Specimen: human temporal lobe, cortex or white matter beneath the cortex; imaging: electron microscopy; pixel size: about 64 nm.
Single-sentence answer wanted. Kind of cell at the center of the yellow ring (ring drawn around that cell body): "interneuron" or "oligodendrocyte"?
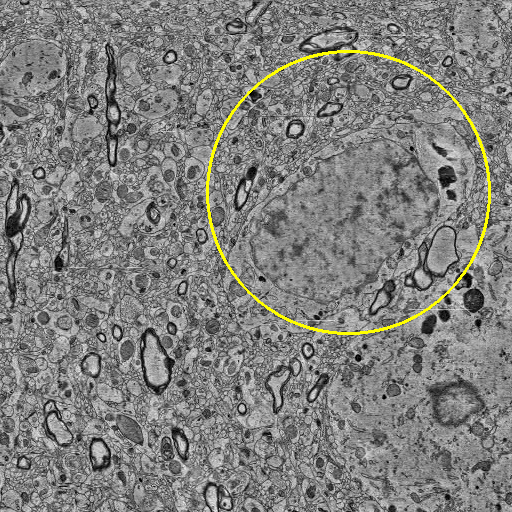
The cell centered in the ring is an interneuron.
